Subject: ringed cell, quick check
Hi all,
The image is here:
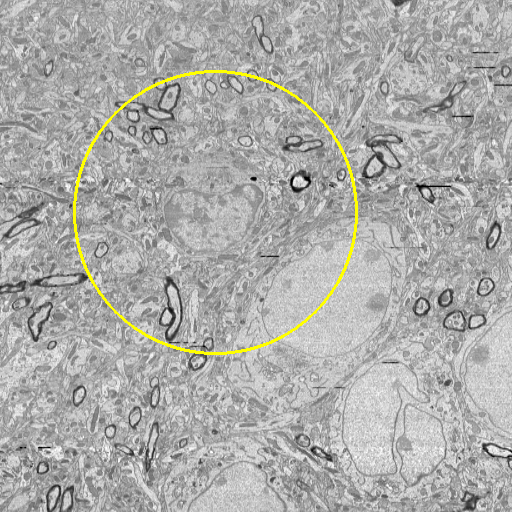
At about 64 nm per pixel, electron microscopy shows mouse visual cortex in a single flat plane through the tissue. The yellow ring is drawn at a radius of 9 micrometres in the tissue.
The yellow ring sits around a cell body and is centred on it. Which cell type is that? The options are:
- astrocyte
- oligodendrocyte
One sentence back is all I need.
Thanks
That ringed cell is an oligodendrocyte.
